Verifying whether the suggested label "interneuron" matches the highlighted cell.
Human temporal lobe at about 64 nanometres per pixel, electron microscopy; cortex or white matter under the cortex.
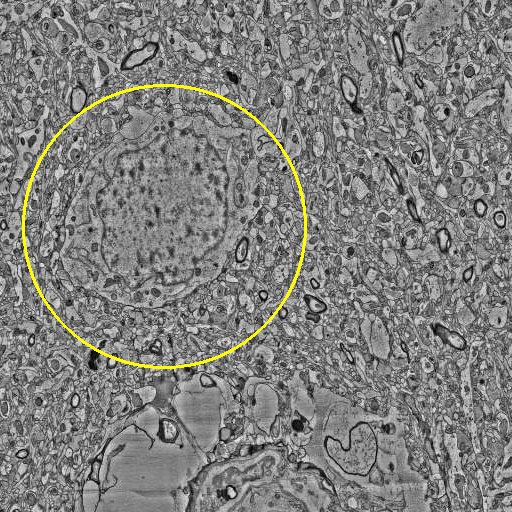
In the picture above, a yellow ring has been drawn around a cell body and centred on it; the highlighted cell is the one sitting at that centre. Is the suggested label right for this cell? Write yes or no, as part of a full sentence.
Yes, the suggested label is right for the cell centred in the yellow ring.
